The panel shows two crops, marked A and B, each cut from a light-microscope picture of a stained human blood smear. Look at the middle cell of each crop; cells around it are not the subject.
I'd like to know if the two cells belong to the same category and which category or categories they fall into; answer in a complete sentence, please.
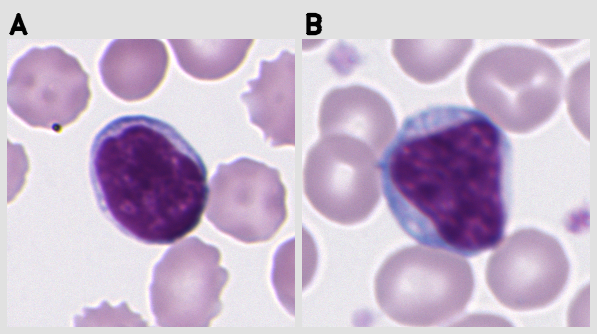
Yes, the central cells in both crops are typical lymphocytes.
